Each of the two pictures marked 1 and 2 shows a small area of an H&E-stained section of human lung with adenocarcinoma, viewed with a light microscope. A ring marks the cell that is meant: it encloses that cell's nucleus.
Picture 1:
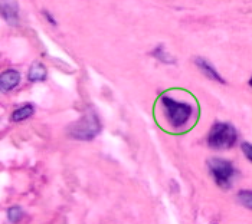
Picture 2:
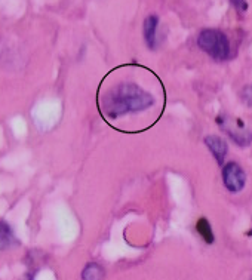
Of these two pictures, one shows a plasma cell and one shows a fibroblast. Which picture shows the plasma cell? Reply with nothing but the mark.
1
